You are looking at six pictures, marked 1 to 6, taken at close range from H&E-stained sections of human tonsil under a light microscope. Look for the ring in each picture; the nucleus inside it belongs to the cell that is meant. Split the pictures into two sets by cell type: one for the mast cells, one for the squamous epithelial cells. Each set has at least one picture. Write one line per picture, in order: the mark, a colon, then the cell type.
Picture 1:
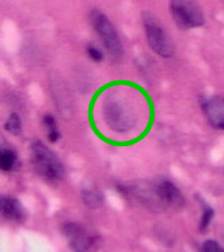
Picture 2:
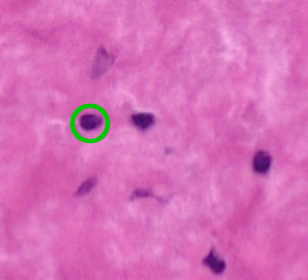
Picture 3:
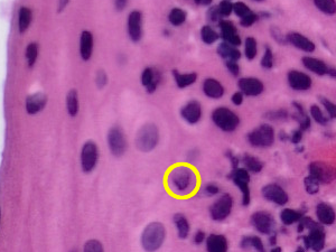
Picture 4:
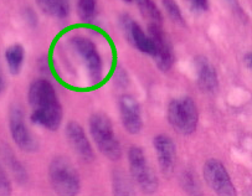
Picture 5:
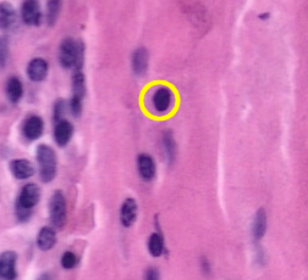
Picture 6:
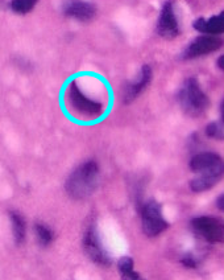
1: squamous epithelial cell
2: mast cell
3: squamous epithelial cell
4: squamous epithelial cell
5: mast cell
6: squamous epithelial cell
